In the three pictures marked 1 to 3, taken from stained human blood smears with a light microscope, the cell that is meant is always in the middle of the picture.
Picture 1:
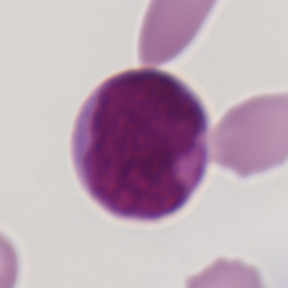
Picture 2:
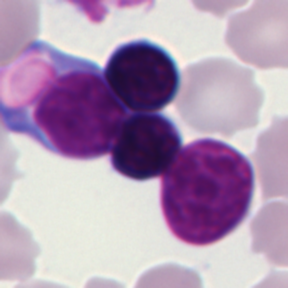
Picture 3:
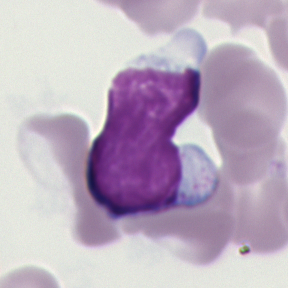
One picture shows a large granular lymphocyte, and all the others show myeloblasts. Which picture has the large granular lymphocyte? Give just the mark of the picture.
3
